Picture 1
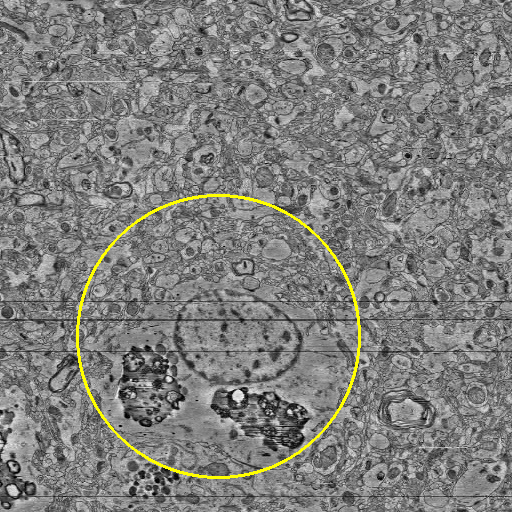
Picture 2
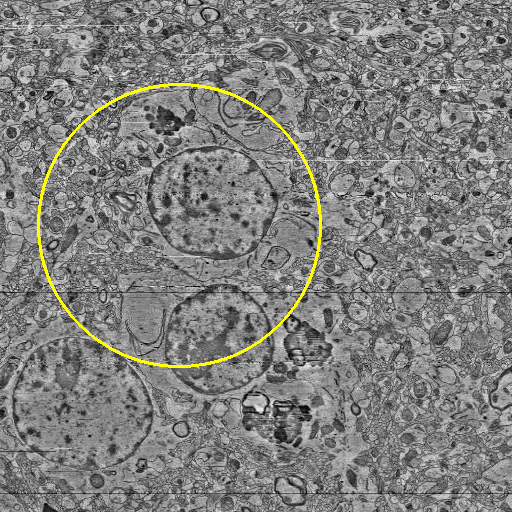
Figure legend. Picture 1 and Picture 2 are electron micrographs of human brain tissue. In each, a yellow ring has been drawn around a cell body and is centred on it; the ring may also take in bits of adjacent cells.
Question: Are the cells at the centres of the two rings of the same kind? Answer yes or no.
yes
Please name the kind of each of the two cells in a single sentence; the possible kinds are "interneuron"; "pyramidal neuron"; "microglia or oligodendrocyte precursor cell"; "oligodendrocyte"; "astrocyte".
In the first picture and in the second, the ring is centred on an astrocyte.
